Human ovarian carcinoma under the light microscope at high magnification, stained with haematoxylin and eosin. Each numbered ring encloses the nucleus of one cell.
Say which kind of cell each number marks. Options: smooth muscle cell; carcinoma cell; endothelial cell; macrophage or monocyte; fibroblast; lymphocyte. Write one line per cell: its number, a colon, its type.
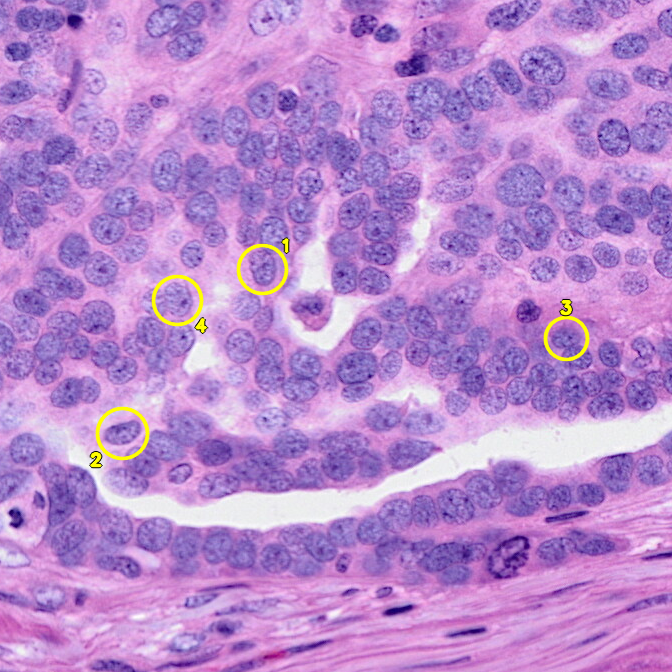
1: carcinoma cell
2: macrophage or monocyte
3: carcinoma cell
4: carcinoma cell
